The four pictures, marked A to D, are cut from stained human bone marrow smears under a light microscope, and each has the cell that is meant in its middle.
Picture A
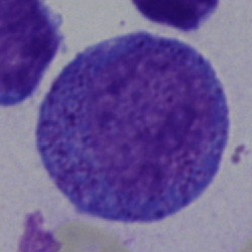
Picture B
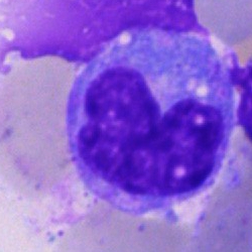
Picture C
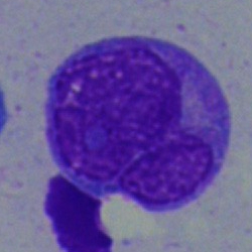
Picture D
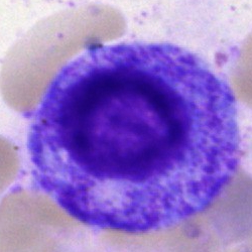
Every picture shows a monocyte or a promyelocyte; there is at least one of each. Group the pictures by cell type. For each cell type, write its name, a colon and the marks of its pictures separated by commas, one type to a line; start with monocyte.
monocyte: B
promyelocyte: A, C, D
